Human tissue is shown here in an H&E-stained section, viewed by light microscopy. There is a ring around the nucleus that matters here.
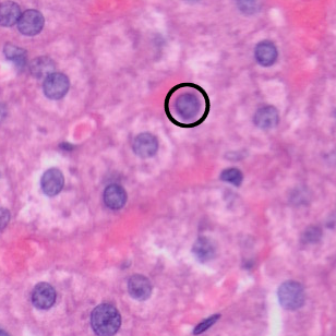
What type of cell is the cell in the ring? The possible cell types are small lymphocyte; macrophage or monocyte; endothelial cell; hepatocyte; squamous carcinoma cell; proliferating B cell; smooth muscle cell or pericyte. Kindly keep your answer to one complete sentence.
By its classification, the cell in the ring is a hepatocyte.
